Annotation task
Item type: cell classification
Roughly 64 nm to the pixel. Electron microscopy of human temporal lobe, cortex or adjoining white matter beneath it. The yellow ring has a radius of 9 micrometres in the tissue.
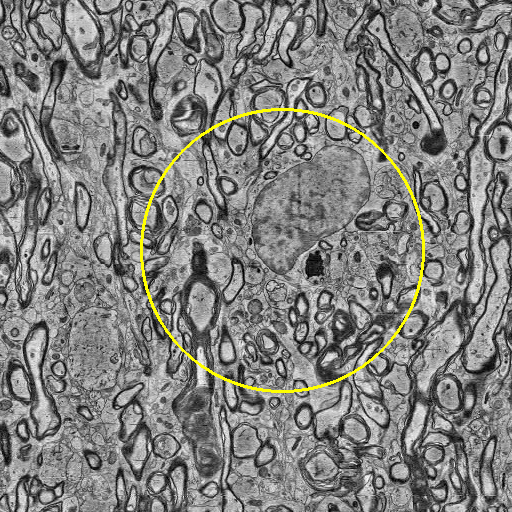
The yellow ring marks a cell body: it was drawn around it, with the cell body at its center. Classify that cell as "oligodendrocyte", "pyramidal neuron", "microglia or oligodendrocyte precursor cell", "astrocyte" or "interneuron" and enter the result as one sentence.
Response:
The ring's center falls on a microglial cell or oligodendrocyte precursor cell.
